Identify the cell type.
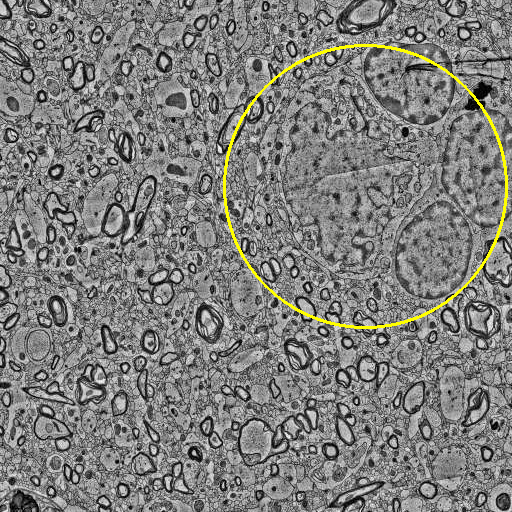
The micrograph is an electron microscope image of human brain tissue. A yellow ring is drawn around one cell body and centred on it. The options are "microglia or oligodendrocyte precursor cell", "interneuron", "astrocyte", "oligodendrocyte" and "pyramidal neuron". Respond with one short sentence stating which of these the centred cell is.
The cell body in the ring belongs to an interneuron.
